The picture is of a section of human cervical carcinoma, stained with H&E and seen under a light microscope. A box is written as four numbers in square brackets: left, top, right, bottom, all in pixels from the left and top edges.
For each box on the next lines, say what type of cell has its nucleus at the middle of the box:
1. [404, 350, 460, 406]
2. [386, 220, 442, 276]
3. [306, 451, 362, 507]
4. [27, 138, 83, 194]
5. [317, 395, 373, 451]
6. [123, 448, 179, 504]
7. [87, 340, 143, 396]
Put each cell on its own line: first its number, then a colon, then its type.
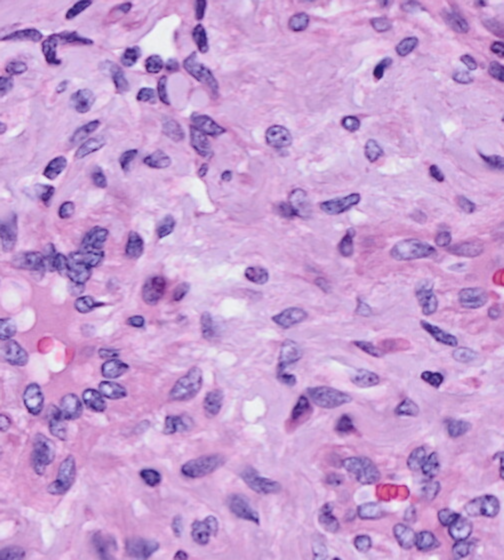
1: lymphocyte
2: endothelial cell
3: endothelial cell
4: lymphocyte
5: lymphocyte
6: lymphocyte
7: endothelial cell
